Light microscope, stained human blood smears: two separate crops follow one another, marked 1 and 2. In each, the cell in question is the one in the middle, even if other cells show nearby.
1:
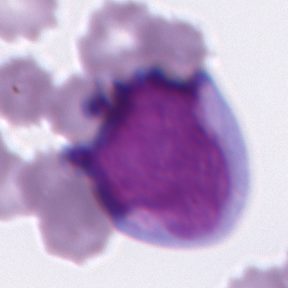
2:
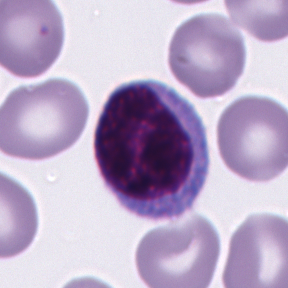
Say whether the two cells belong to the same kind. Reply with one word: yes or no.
no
